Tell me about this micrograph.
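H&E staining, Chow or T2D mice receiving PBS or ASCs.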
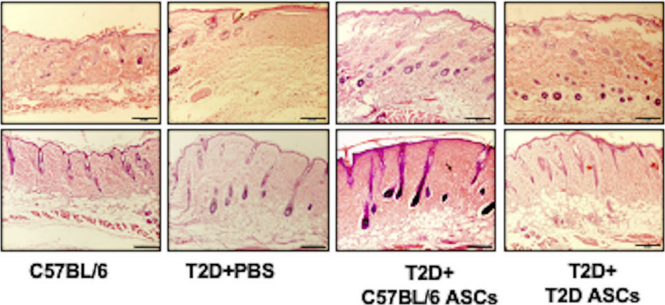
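Purple epithelial structures lie within the dermis, some cut across as small rings and others as elongated downgrowths running from the surface epithelium into the deeper tissue. In the lower row, a thin, more darkly stained surface epithelium is visible along the top edge of several sections. Beneath the dermis, bands of deeper pink tissue appear near the lower edge of some sections.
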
